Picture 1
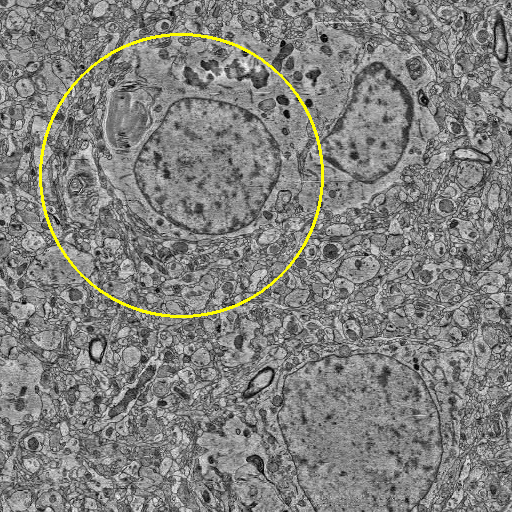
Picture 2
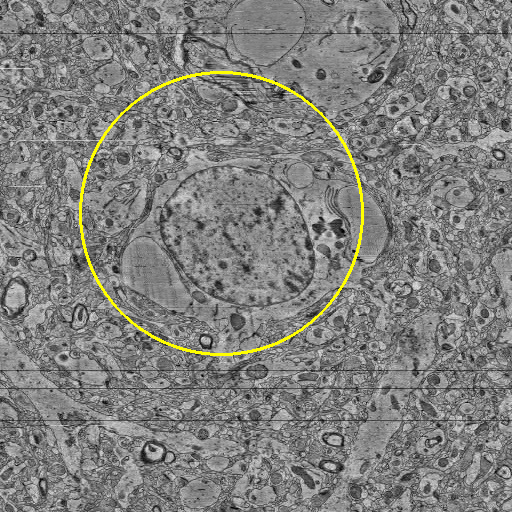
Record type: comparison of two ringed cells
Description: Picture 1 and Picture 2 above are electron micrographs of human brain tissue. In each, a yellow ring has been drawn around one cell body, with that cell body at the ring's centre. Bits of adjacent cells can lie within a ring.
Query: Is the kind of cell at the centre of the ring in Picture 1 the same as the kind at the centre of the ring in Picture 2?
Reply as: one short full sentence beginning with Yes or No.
Yes, the two ringed cells are of the same kind.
